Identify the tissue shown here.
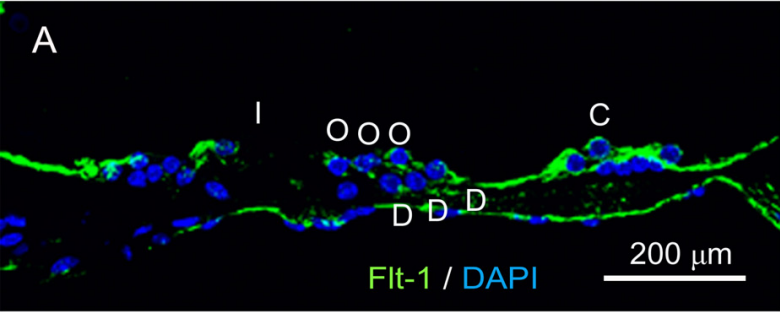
cochlear sensory epithelium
